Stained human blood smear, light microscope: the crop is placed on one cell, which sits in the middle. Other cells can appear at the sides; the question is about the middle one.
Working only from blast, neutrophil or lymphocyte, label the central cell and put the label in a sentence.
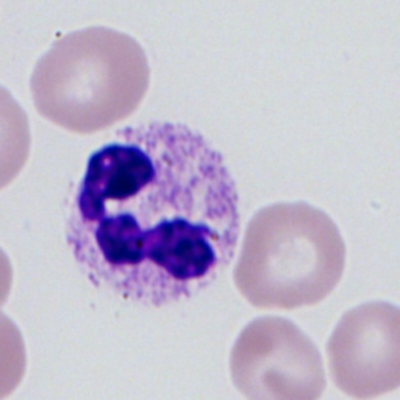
Classified as a neutrophil is the cell in the middle of this crop.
